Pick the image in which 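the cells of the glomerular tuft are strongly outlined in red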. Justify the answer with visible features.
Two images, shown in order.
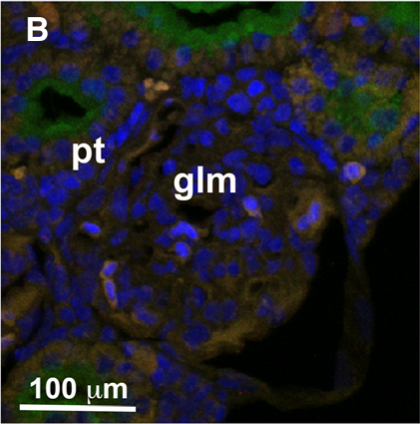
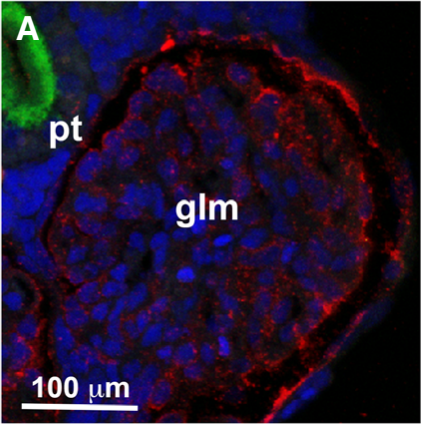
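The second image. Second image: bright red dotted labelling outlines the rounded glomerular tuft and runs between its cells. First image: the glomerular tuft shows blue nuclei with only faint brownish background and no clear red outline.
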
